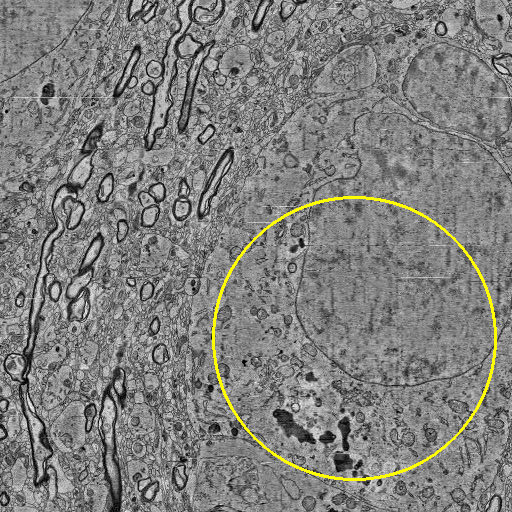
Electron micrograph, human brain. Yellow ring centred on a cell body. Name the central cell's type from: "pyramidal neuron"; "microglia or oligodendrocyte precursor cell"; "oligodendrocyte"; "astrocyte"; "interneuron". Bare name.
pyramidal neuron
